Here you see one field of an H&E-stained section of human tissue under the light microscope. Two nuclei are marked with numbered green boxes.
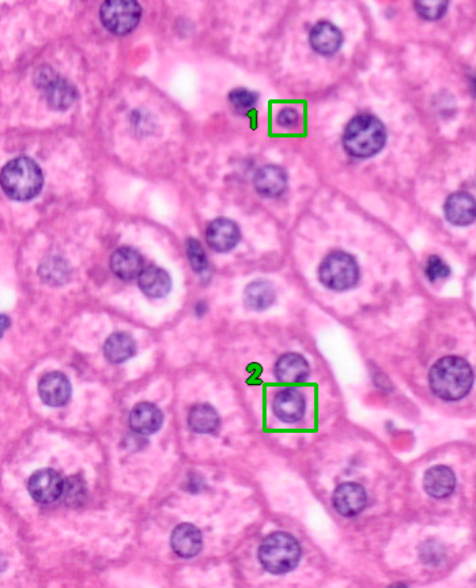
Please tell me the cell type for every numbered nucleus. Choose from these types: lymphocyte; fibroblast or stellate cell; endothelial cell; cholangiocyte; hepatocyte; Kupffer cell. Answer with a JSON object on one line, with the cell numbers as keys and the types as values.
{"1": "lymphocyte", "2": "hepatocyte"}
